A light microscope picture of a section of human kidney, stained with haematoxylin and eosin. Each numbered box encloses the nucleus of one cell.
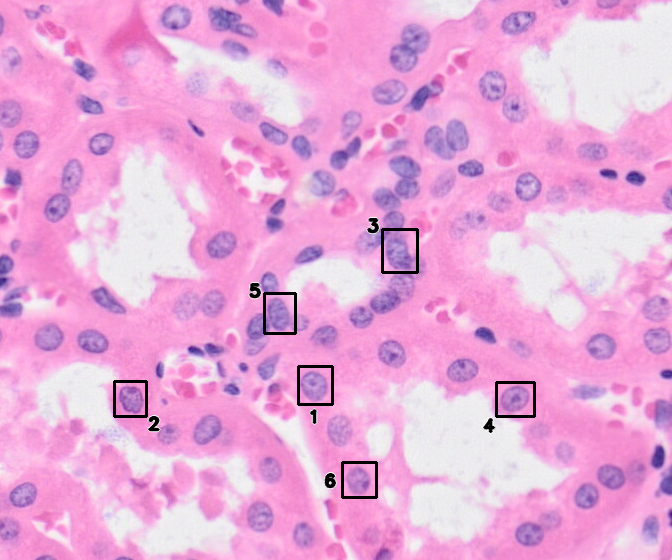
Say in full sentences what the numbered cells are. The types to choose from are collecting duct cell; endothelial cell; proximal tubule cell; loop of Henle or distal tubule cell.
Cells 1, 2, 4 and 6 are proximal tubule cells. Cells 3 and 5 are collecting duct cells.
